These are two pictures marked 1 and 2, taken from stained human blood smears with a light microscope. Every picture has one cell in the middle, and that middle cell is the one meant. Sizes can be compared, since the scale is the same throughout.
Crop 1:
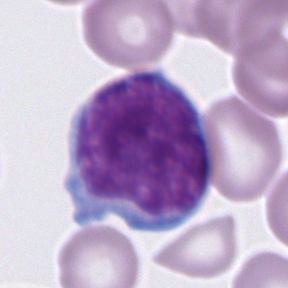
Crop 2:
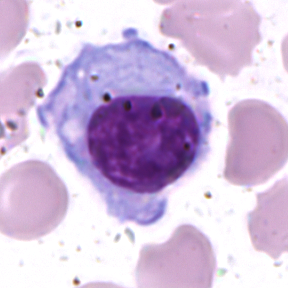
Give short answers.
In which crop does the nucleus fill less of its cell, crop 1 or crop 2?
2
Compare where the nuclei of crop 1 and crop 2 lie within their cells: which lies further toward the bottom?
2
